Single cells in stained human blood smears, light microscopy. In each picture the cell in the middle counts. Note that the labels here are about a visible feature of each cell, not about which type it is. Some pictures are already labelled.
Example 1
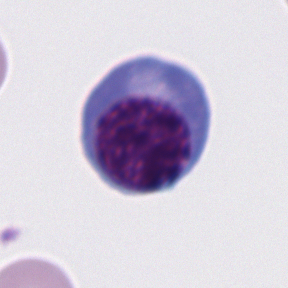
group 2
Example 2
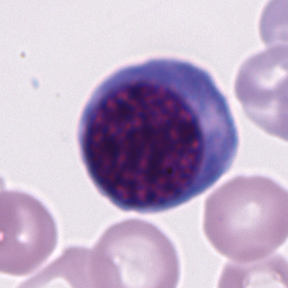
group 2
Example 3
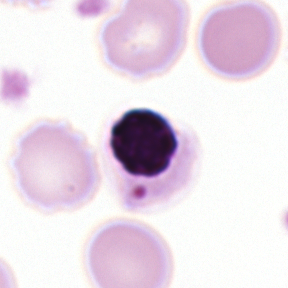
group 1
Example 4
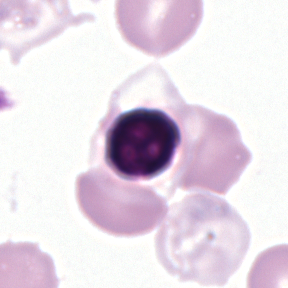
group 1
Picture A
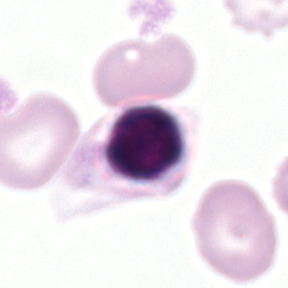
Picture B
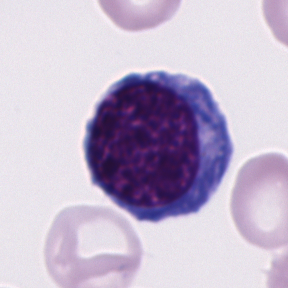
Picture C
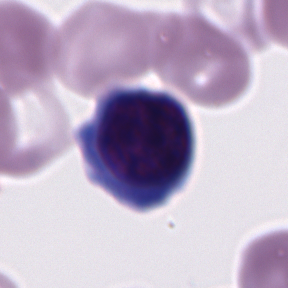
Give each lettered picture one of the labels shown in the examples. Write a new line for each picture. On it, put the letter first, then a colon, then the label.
A: group 1
B: group 2
C: group 2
